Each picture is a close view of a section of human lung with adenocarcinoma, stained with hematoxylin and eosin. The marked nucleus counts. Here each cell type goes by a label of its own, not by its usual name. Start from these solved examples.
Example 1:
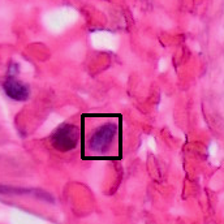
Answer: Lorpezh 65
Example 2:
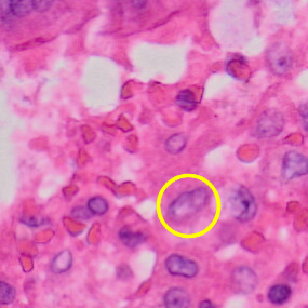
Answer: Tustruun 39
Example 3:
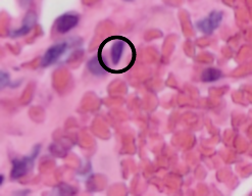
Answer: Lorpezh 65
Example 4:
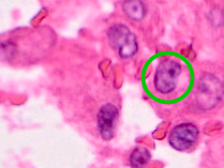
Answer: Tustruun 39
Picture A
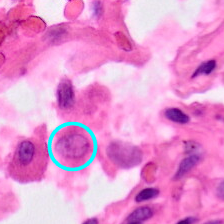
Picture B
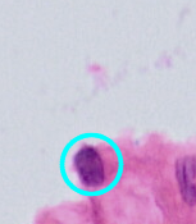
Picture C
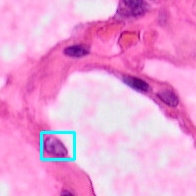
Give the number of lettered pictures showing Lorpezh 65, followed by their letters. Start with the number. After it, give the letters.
Count: 2 (B, C)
